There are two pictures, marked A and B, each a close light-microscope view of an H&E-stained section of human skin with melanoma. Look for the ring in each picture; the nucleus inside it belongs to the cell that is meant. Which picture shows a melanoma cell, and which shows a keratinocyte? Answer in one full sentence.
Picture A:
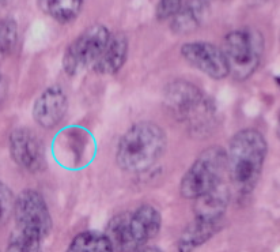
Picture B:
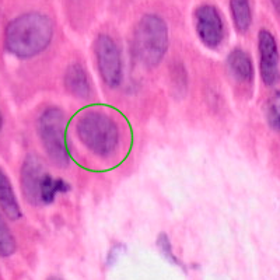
It is picture A that shows a melanoma cell, and picture B that shows a keratinocyte.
